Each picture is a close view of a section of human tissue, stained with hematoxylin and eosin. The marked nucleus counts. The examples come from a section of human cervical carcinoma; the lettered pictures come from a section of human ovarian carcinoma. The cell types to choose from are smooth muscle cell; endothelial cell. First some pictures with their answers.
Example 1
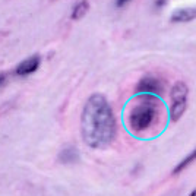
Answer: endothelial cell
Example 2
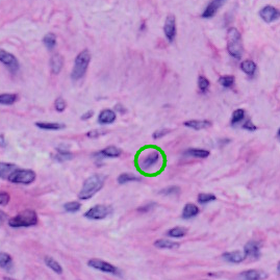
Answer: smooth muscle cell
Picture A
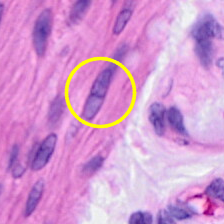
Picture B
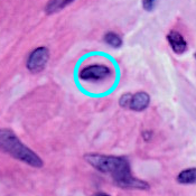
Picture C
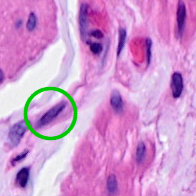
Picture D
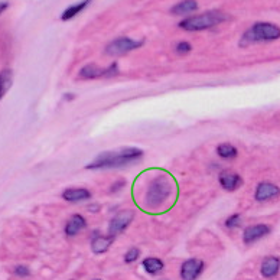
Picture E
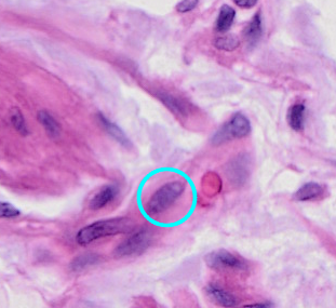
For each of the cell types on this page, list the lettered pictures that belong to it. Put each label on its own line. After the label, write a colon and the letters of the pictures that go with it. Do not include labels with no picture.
smooth muscle cell: A, B, D
endothelial cell: C, E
